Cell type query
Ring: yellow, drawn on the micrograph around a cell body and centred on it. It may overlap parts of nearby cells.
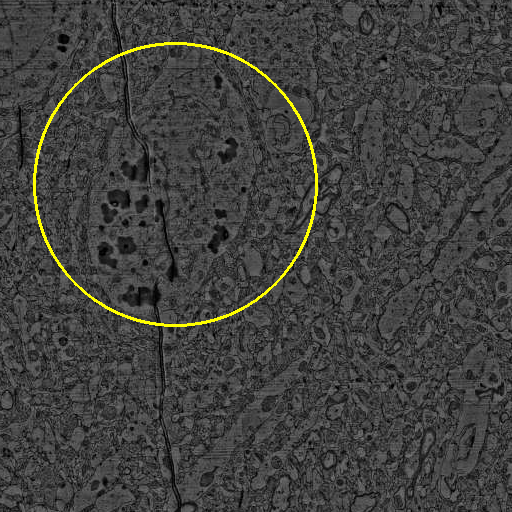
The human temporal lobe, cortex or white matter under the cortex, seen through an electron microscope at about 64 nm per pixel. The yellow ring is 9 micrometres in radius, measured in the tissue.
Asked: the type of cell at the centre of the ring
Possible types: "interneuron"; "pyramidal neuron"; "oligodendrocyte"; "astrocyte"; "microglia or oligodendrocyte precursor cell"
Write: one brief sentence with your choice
The ring marks an interneuron.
